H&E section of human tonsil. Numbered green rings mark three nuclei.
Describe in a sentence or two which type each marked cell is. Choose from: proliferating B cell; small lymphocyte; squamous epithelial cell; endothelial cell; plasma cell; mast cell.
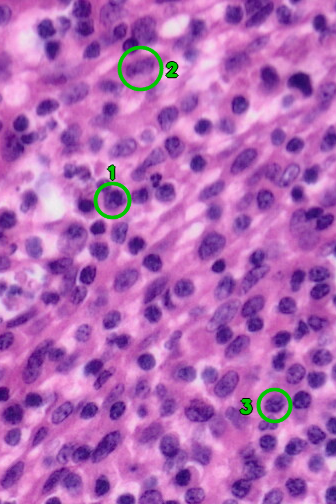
Cell 1 is a plasma cell, cell 2 is a squamous epithelial cell and cell 3 is a plasma cell.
